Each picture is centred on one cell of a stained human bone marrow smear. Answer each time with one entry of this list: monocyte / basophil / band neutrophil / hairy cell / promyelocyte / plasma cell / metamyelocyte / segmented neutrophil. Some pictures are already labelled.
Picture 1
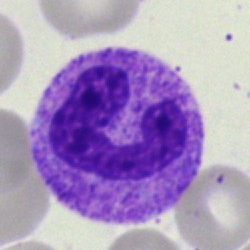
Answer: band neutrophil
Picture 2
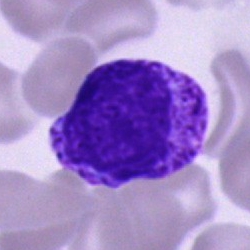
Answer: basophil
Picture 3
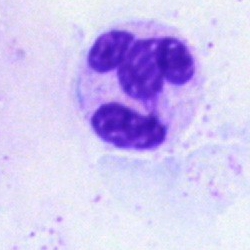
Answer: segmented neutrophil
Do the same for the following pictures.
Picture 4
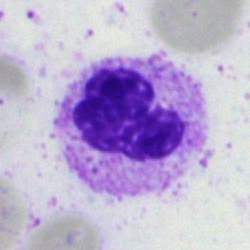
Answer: segmented neutrophil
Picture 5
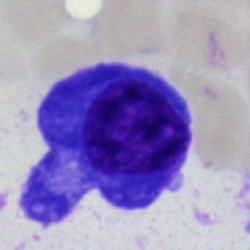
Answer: plasma cell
